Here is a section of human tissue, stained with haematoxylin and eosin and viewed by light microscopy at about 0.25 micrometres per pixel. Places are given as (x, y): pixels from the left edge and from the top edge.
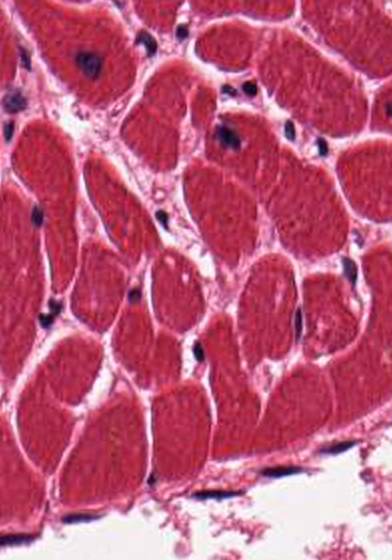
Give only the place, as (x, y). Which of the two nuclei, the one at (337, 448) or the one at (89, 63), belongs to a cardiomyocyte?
(89, 63)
